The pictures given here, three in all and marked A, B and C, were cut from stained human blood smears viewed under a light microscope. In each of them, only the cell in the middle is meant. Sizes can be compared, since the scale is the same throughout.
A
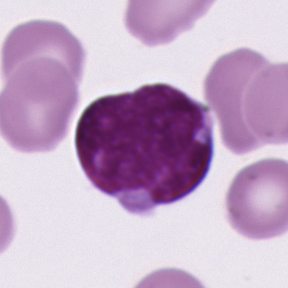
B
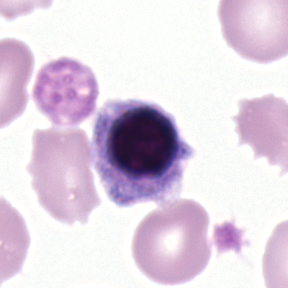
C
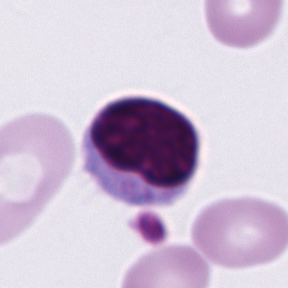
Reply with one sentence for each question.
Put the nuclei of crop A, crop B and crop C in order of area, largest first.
The order is A, C, B, beginning with the largest.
